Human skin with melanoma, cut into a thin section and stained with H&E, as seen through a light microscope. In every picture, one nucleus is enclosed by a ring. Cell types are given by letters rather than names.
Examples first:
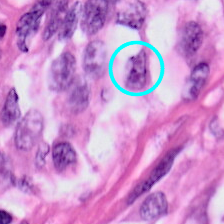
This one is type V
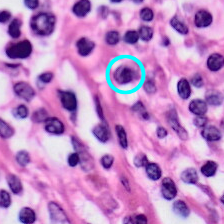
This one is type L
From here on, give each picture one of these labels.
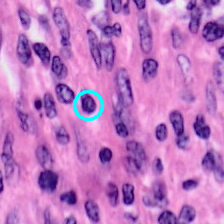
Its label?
type L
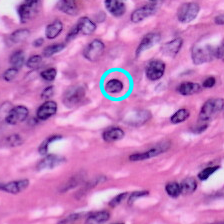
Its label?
type L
